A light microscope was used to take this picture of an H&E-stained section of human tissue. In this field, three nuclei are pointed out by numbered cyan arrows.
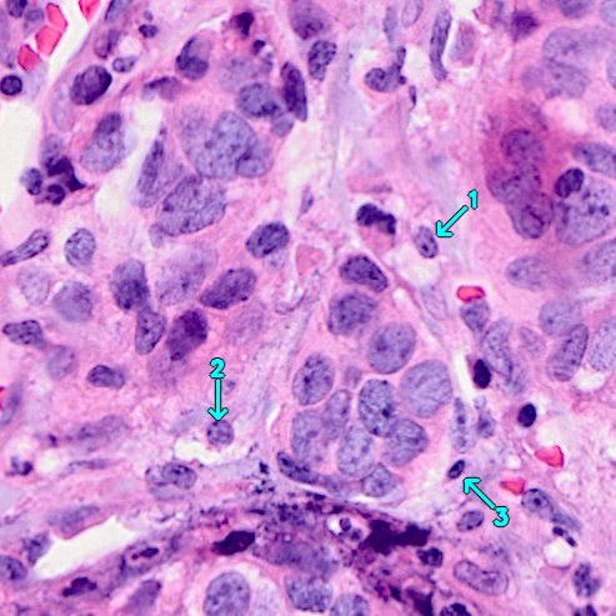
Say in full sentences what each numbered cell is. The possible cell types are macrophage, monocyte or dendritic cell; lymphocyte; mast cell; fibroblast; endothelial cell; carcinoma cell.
Cell 1 is a mast cell, cell 2 is a macrophage, monocyte or dendritic cell and cell 3 is a lymphocyte.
